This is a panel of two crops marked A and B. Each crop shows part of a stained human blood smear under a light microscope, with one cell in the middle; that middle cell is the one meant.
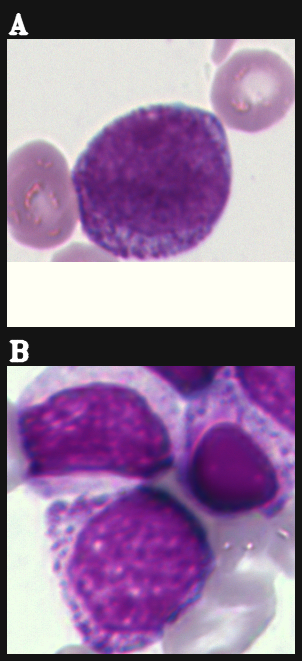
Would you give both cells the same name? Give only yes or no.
no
